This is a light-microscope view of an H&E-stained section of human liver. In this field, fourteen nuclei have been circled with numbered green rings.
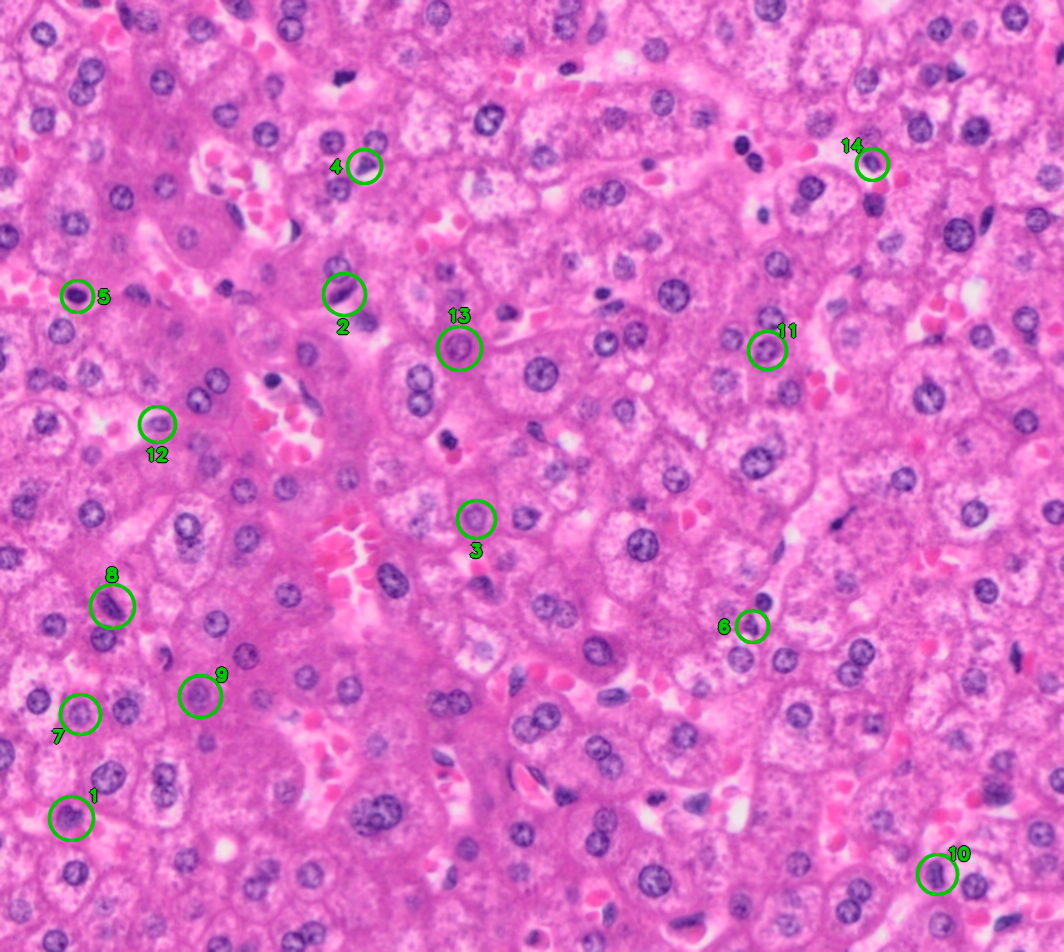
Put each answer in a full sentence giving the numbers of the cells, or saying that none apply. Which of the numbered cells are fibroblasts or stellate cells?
Cells 2, 6, 8 and 10 are fibroblasts or stellate cells by cell type.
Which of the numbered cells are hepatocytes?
The cells numbered 3, 7, 9, 11 and 13 are typed as hepatocytes.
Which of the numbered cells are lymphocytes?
The cells with numbers 5 and 14 are lymphocytes by type.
